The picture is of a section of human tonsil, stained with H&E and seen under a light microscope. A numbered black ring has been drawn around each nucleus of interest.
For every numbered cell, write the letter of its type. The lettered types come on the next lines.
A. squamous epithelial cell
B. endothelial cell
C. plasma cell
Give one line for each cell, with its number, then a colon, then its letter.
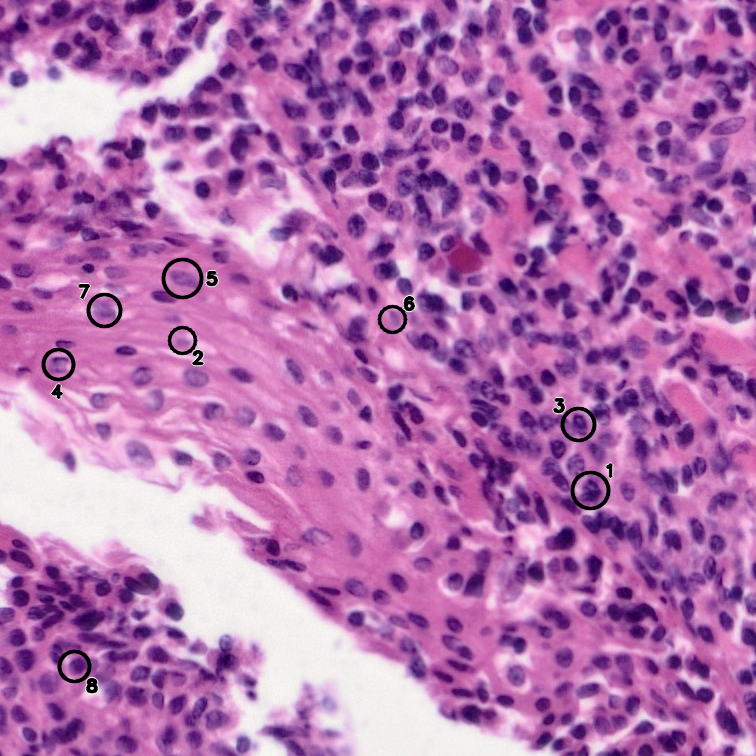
1: C
2: A
3: C
4: A
5: A
6: B
7: A
8: A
